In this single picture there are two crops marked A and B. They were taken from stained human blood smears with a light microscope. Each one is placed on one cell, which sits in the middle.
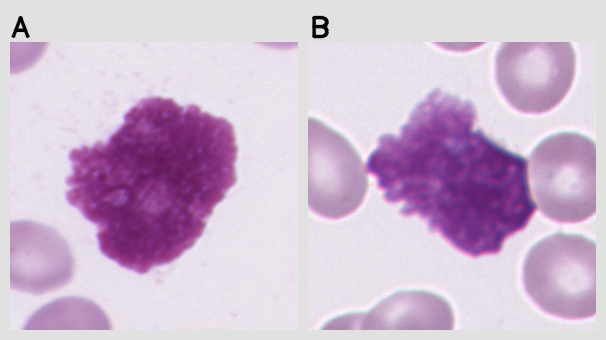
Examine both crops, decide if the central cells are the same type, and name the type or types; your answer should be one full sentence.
Yes, in the middle of both crops, smudge cells are shown.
